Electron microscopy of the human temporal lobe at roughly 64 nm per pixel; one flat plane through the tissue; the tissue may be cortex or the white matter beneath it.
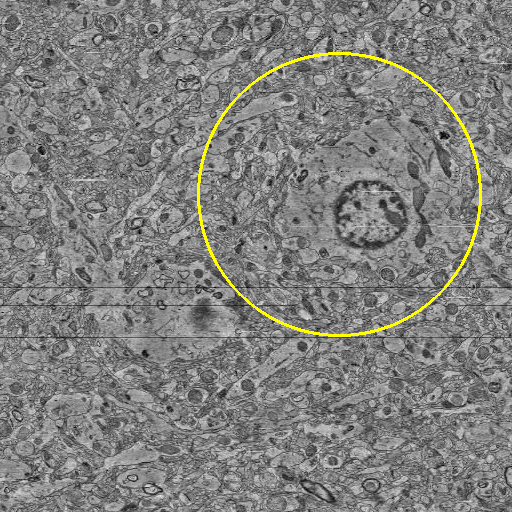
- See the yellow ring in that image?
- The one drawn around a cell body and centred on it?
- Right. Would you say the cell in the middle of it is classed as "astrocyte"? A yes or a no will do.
yes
